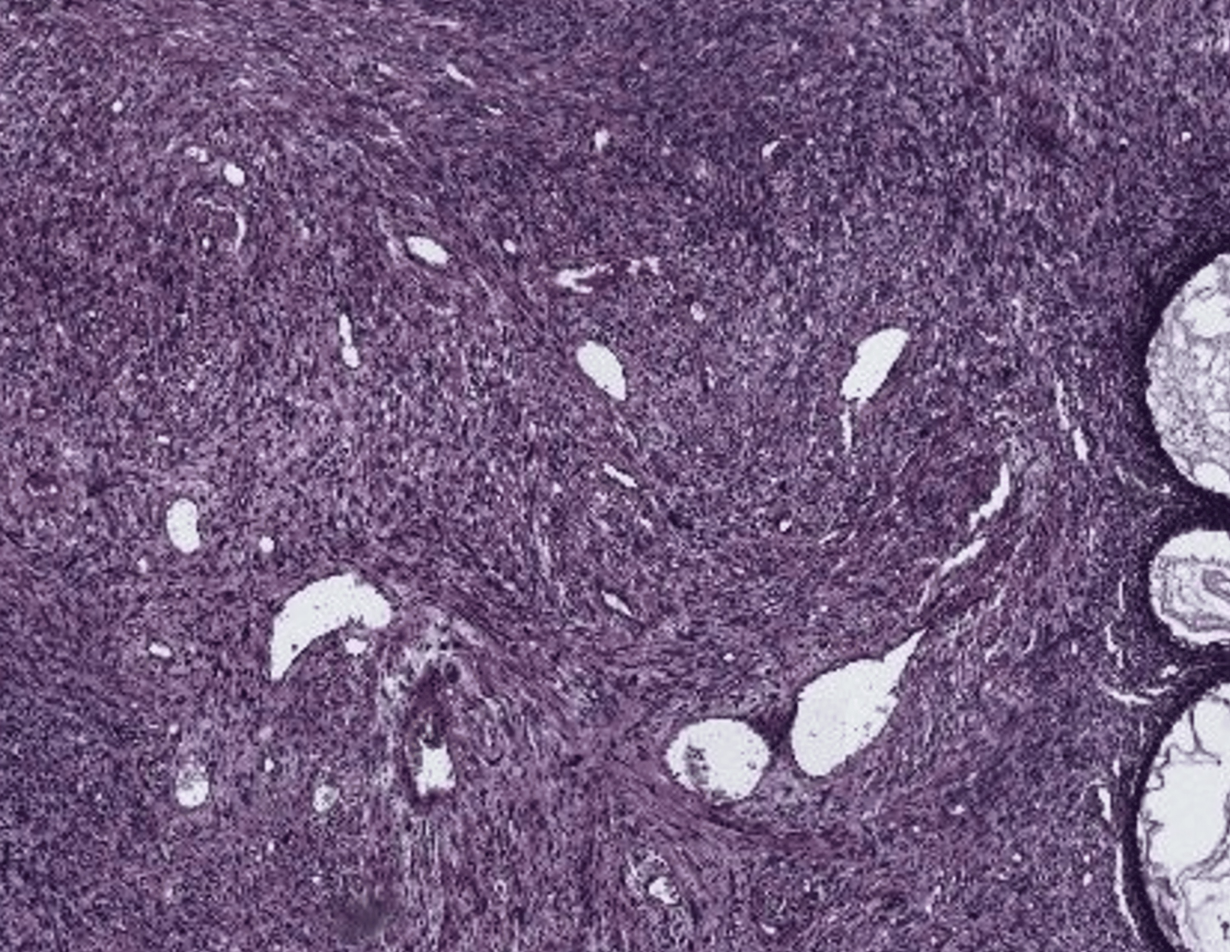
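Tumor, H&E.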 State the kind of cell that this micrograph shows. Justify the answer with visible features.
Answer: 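Densely packed cells with elongated nuclei fill the field. The elongated cells run in streaming, swirling bundles. So: spindle-shaped cells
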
